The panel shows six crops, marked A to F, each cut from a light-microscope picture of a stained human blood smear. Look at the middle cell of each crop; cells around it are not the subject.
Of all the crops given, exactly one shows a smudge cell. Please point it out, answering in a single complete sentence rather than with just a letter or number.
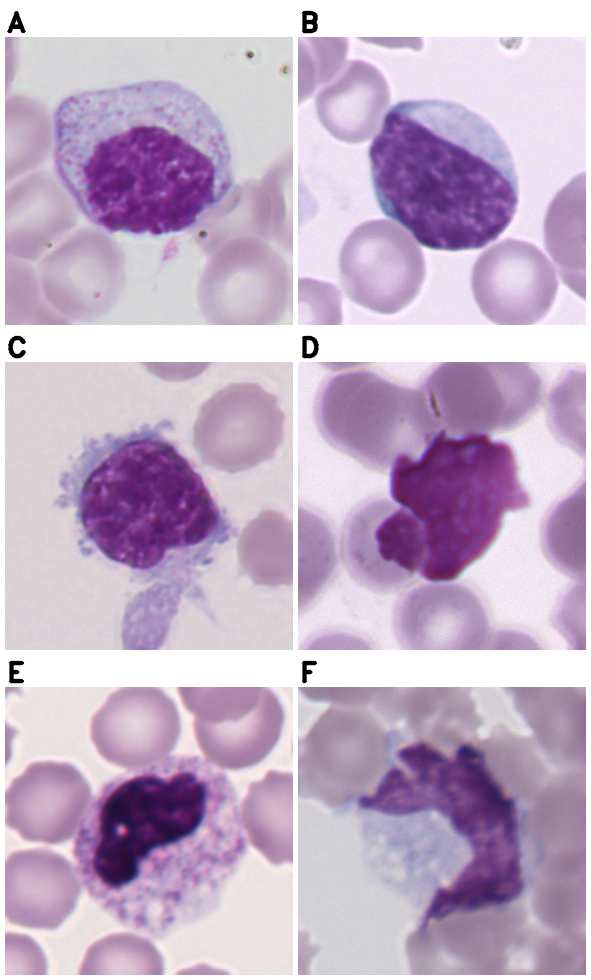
Crop D is the one in this set that shows a smudge cell.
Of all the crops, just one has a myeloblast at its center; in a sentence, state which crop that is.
Of the labelled crops, the one that shows a myeloblast is crop B.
